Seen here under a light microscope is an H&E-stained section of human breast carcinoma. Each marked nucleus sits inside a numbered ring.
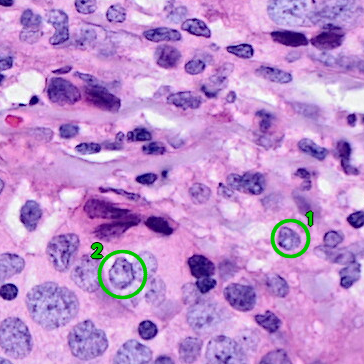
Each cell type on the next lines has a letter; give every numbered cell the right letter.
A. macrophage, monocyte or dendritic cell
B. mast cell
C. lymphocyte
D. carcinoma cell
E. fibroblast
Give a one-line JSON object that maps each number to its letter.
{"1": "A", "2": "D"}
